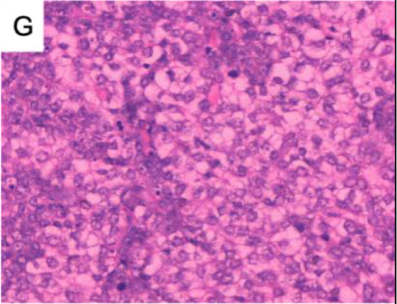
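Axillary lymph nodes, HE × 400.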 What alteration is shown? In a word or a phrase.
Deeply stained nuclei.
